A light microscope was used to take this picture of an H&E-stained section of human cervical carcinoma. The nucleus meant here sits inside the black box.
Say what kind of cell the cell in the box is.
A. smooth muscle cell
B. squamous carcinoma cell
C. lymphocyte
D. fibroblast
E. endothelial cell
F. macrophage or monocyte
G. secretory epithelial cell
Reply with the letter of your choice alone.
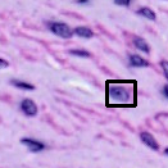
A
